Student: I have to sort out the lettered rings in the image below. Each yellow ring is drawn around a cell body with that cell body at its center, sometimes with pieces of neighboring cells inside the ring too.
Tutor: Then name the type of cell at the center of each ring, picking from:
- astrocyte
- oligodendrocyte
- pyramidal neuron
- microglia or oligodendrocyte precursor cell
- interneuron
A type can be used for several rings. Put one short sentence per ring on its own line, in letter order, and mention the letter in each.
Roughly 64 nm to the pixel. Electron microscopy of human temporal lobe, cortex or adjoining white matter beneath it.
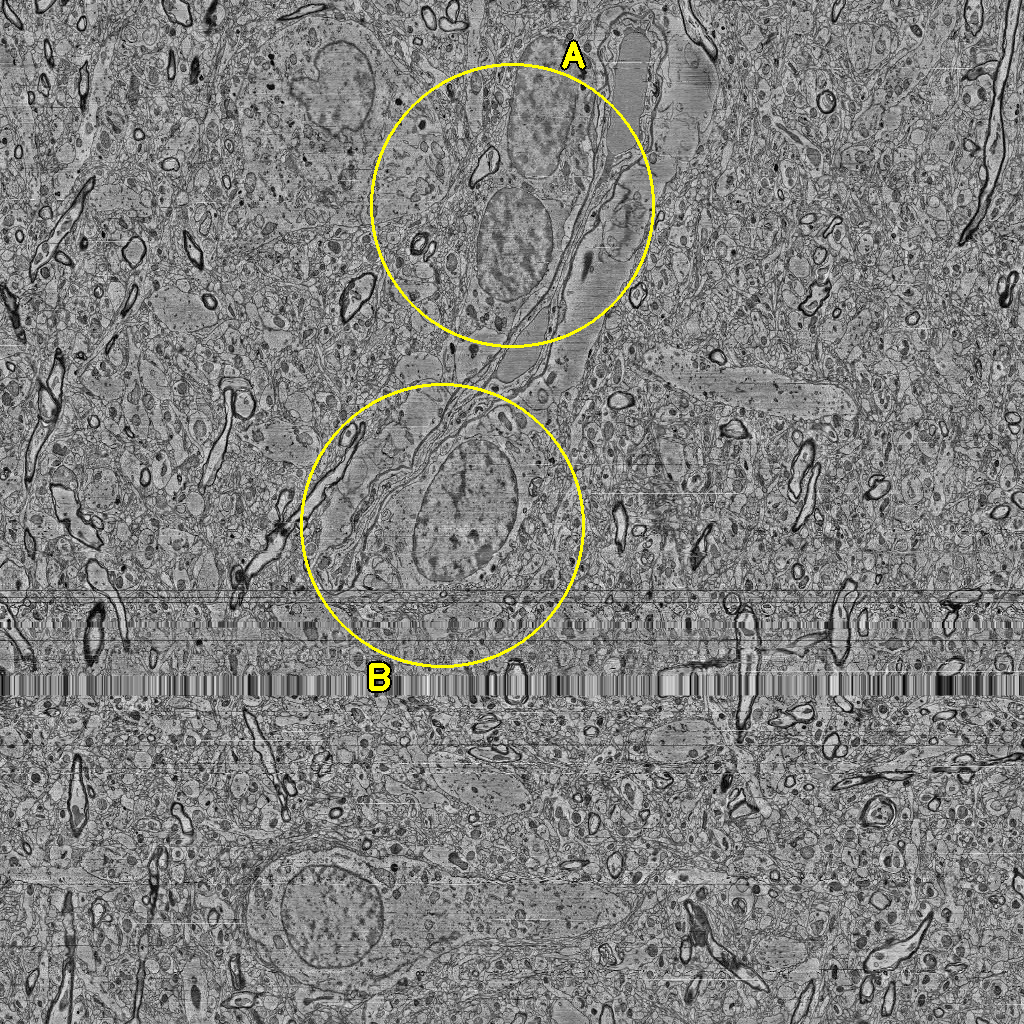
Inside ring A, at its center, is an oligodendrocyte.
Inside ring B, at its center, is a microglial cell or oligodendrocyte precursor cell.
